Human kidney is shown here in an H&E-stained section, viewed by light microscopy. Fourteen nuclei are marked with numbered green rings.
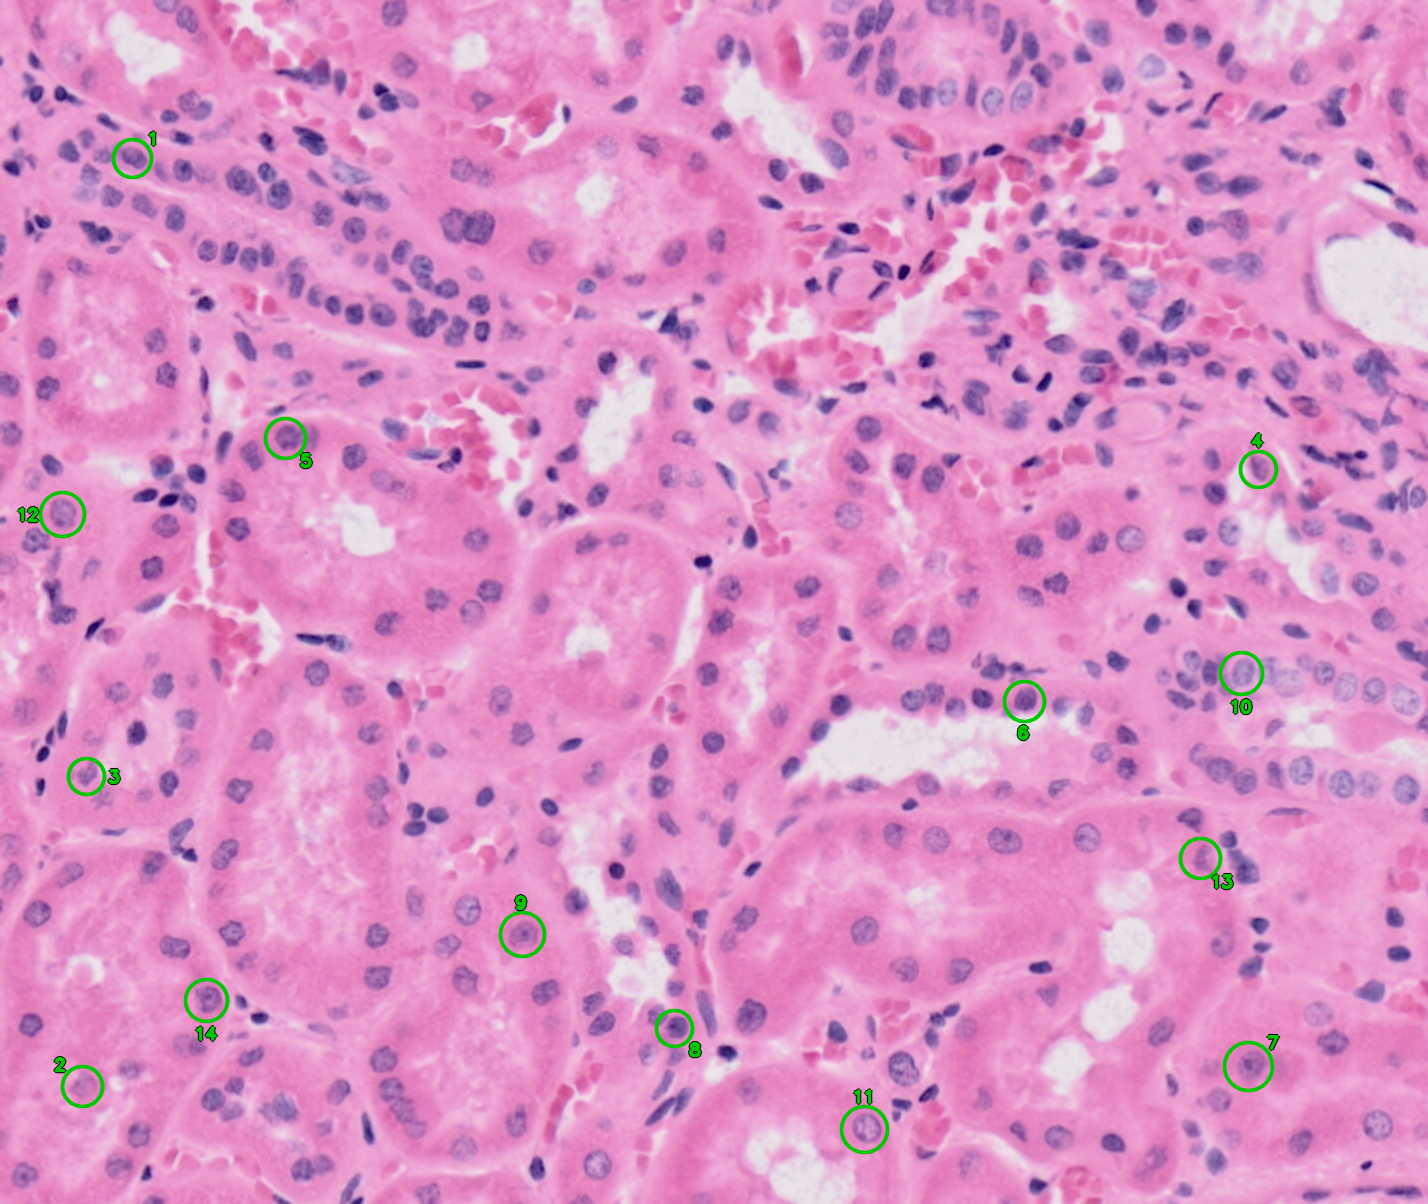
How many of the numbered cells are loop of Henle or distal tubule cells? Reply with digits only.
4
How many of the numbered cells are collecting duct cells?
2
